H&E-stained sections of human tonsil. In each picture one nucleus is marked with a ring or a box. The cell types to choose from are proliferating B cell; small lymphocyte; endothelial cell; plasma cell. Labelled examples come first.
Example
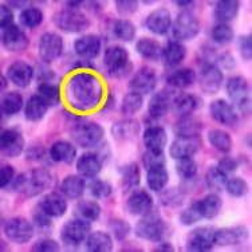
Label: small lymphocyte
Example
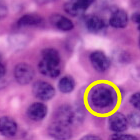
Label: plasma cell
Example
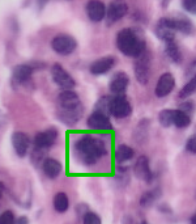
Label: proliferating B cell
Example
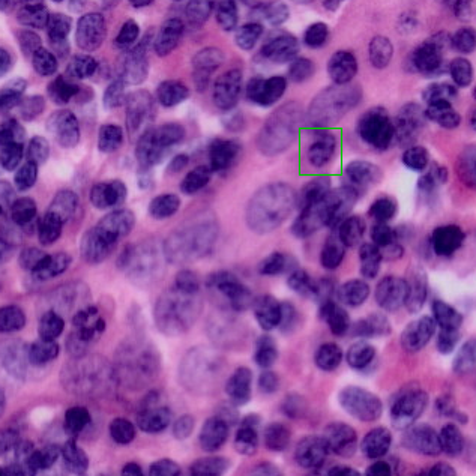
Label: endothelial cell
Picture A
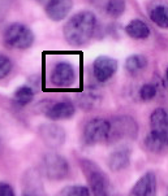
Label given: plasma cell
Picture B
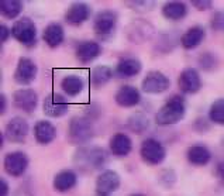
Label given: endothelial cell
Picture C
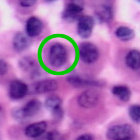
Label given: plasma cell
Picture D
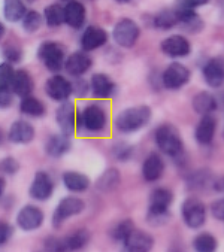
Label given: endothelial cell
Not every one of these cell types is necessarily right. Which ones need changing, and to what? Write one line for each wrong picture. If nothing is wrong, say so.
B should be small lymphocyte, not endothelial cell
D should be small lymphocyte, not endothelial cell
